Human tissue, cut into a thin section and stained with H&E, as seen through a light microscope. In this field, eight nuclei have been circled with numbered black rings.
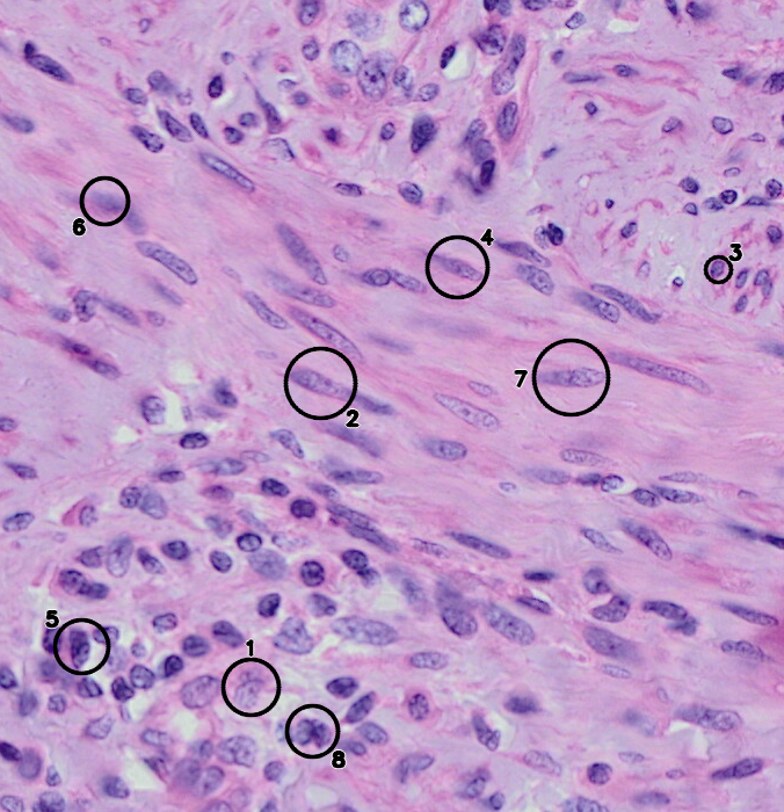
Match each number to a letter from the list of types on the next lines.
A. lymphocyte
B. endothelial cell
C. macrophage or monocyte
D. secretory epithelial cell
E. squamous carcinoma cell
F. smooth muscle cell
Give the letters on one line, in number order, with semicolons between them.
B; F; F; F; A; F; F; A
